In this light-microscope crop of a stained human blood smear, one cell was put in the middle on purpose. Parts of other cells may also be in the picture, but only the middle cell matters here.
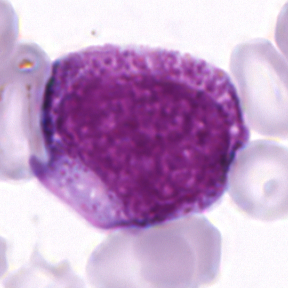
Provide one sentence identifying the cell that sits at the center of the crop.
The cell in the exact centre of the crop is a promyelocyte.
